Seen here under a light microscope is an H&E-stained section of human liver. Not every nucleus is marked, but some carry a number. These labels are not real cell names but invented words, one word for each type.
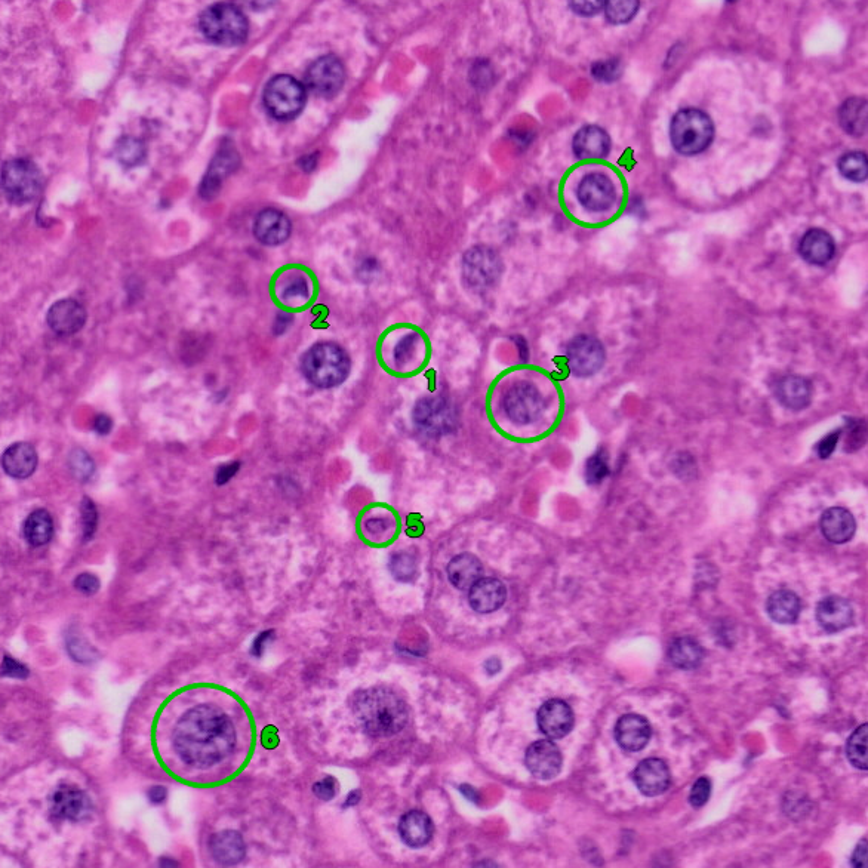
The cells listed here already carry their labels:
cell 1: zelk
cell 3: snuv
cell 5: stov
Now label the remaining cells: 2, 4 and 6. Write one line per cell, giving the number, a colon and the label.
2: zelk
4: snuv
6: snuv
